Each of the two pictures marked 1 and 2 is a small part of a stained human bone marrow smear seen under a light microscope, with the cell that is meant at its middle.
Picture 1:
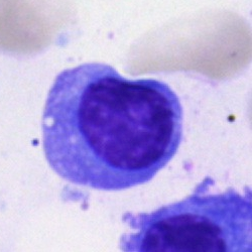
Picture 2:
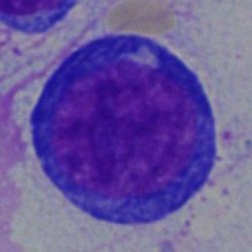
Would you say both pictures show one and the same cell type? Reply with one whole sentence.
No. Picture 1 shows a plasma cell, but picture 2 shows a proerythroblast.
